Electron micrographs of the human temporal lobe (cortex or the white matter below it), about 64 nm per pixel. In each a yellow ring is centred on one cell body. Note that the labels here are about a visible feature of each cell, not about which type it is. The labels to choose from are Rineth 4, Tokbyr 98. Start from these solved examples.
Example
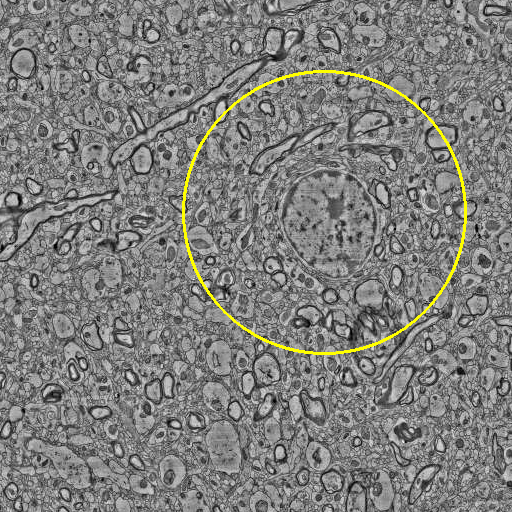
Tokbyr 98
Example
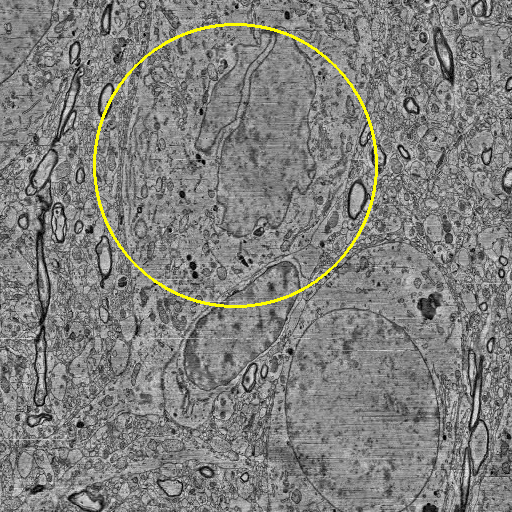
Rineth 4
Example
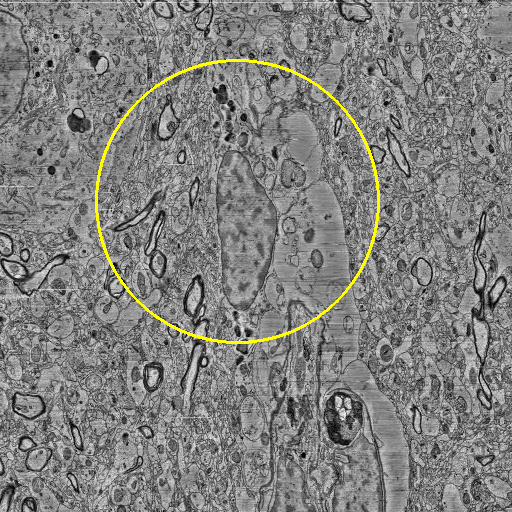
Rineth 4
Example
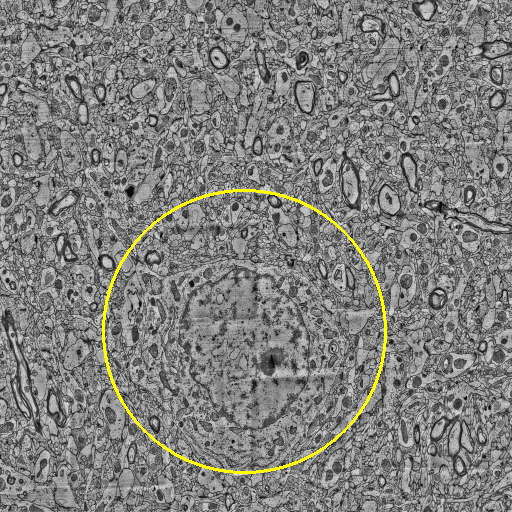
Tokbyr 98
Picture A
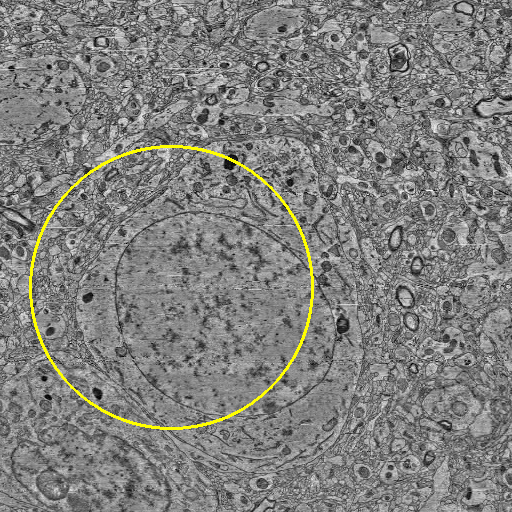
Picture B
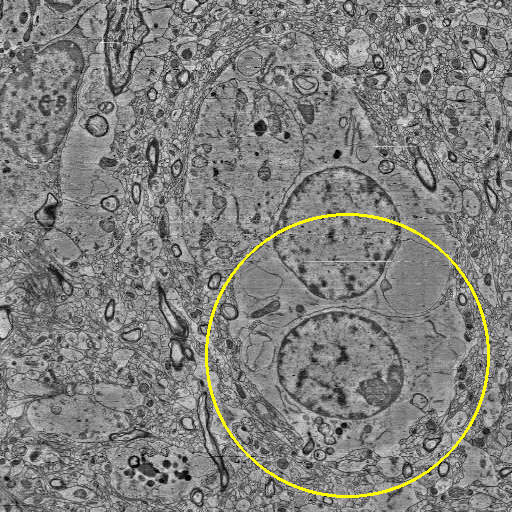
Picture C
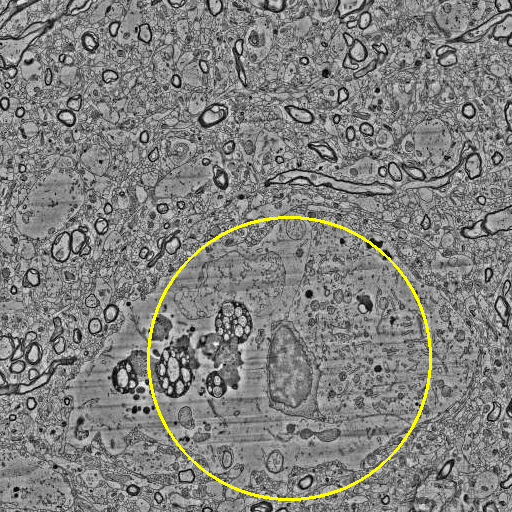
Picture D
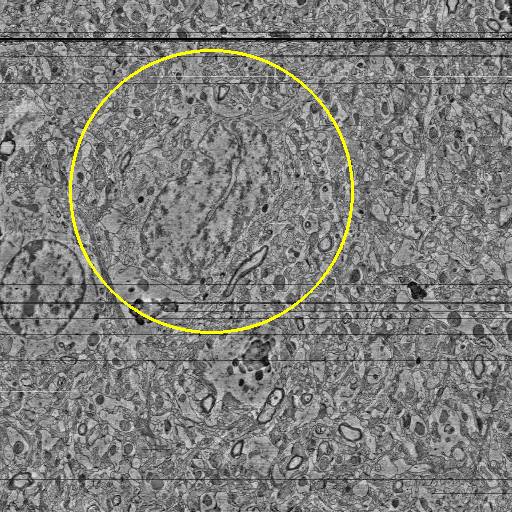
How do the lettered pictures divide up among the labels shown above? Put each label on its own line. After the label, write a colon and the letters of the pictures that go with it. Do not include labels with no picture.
Rineth 4: C, D
Tokbyr 98: A, B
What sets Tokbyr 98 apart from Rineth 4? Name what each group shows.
Tokbyr 98: round or nearly round nuclei; Rineth 4: clearly elongated nuclei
